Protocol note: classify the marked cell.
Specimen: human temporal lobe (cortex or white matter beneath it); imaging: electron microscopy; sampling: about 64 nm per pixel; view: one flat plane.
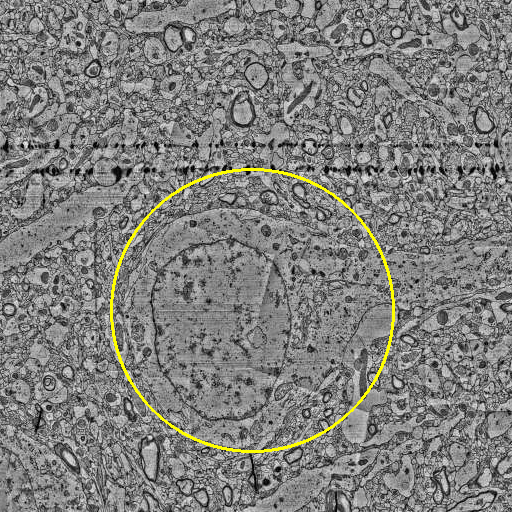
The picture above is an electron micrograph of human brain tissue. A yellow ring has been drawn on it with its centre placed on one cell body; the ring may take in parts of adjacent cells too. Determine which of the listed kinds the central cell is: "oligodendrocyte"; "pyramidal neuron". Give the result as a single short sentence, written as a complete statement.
The central cell is a pyramidal neuron.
